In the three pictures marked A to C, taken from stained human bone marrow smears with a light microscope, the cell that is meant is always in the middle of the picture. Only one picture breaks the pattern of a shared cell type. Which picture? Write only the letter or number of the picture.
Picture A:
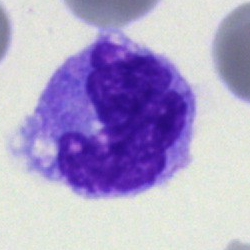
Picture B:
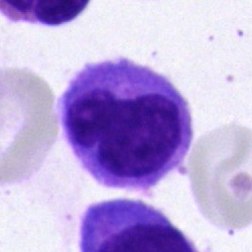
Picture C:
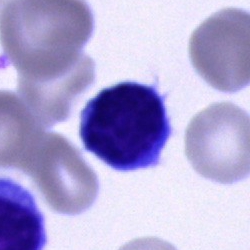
C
